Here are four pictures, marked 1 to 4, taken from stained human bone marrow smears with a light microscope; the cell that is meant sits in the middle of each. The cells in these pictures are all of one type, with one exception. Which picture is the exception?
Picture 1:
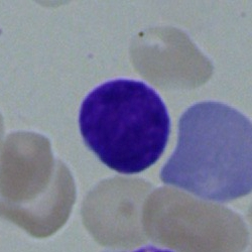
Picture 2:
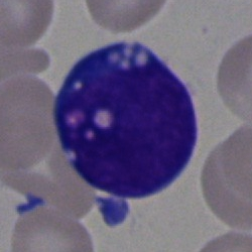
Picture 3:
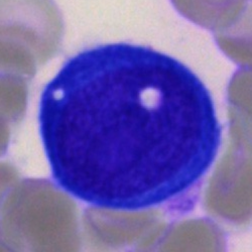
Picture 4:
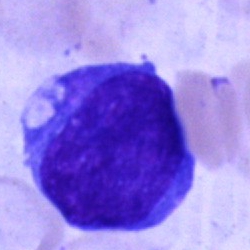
1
